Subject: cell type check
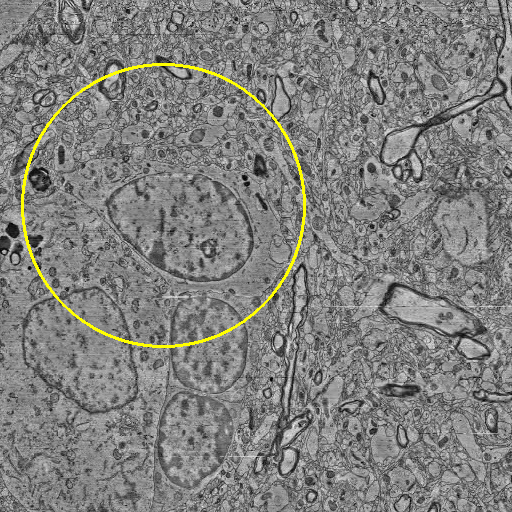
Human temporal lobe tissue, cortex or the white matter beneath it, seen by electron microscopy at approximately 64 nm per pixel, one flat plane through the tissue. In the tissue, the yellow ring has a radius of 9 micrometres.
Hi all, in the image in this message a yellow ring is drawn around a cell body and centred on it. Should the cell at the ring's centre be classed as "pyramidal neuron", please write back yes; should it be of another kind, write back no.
no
